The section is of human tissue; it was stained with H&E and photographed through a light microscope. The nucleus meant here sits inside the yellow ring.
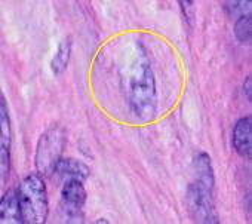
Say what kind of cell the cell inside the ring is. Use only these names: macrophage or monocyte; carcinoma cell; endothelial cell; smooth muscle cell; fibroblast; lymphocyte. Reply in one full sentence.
In this section, the cell inside the ring is a fibroblast.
